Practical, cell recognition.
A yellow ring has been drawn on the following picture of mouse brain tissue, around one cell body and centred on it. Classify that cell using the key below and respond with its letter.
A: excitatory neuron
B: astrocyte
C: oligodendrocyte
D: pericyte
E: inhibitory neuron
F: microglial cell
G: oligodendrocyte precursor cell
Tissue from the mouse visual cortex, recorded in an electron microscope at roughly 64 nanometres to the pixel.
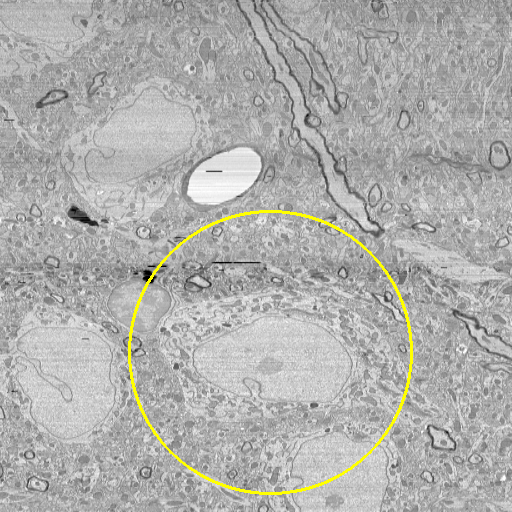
E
